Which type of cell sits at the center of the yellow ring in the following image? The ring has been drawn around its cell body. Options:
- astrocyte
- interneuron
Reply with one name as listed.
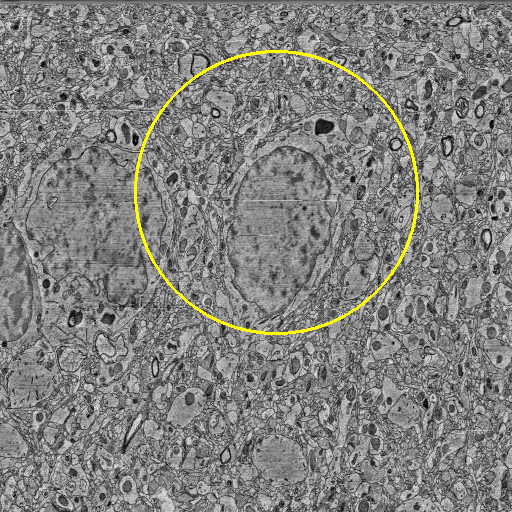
interneuron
